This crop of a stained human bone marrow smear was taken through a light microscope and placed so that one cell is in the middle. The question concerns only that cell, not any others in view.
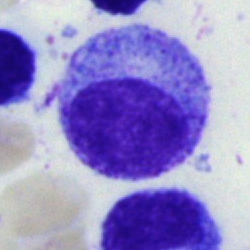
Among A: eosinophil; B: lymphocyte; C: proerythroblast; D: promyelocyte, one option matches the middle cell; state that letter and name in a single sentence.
The cell right in the middle is a promyelocyte, so option D is the one.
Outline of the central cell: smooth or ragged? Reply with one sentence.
Worth noting that the cell border is smooth and lacks projections.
